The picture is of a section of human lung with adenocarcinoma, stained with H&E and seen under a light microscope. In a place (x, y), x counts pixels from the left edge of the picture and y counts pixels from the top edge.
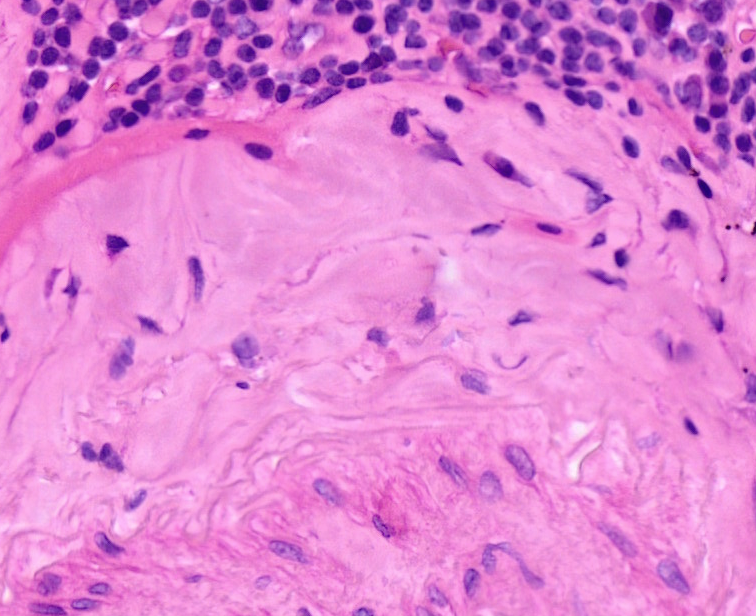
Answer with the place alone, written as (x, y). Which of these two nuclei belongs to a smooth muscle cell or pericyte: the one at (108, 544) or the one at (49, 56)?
(108, 544)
